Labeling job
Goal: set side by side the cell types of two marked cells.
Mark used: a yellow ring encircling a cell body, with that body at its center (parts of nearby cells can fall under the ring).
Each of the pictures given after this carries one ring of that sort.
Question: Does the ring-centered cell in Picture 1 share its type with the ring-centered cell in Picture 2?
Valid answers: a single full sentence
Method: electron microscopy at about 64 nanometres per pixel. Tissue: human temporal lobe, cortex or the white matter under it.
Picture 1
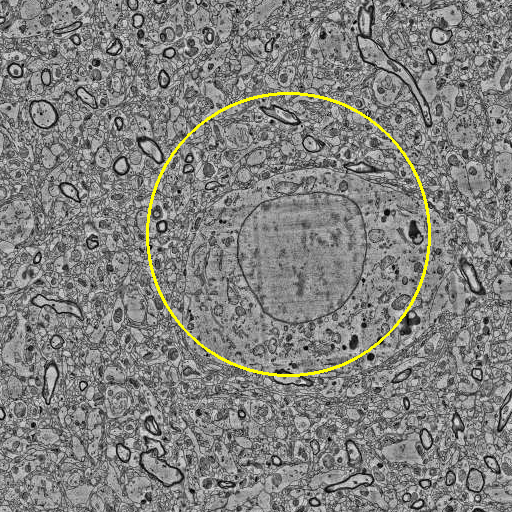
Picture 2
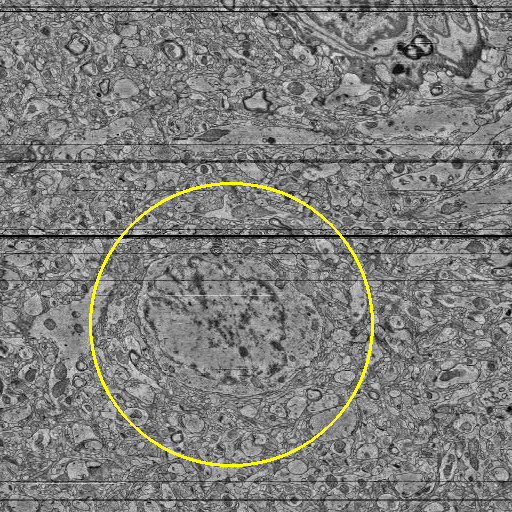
No, in Pictures 1 and 2 the cells at the ring centers have separate types.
